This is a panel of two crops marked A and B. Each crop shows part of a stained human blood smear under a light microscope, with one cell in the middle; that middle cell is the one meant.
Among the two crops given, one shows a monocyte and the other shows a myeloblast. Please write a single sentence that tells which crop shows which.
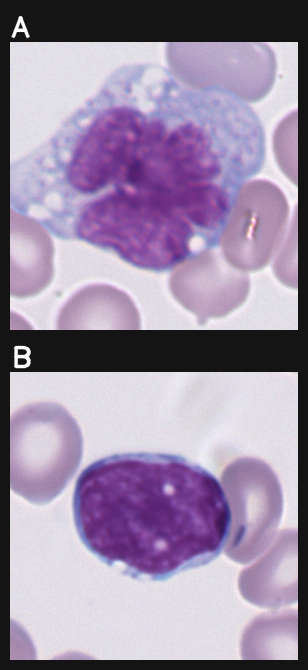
Crop A contains a monocyte, and crop B contains a myeloblast.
